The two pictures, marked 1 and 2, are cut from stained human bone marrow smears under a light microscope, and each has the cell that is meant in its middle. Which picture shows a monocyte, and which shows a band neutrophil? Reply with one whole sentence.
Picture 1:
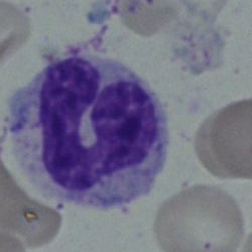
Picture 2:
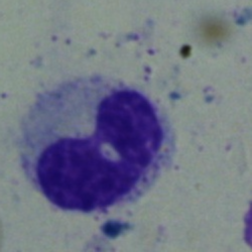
Picture 2 shows a band neutrophil, while picture 1 shows a monocyte.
